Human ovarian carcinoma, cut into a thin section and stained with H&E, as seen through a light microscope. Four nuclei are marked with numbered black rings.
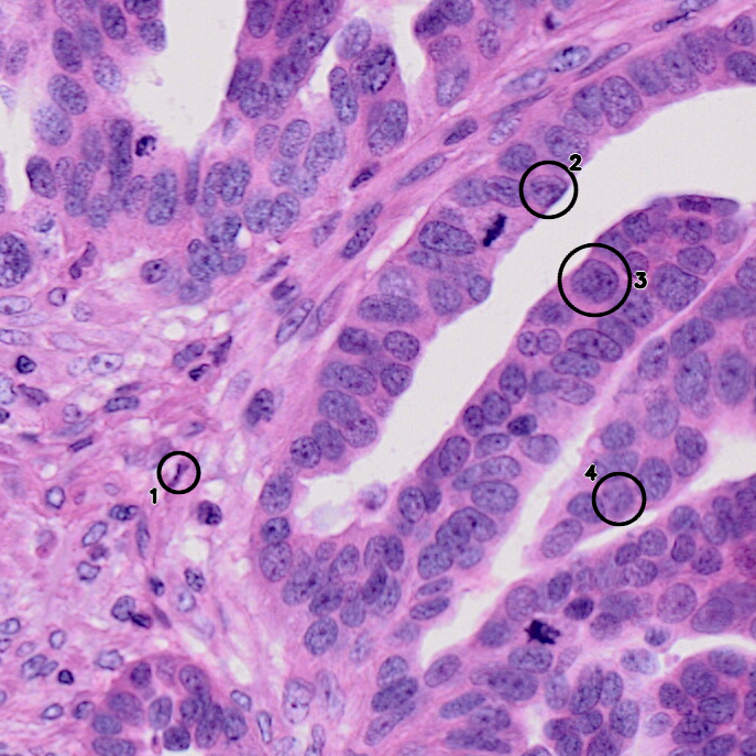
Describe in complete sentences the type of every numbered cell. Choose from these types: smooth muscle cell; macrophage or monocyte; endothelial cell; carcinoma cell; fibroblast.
Cell 1 is a fibroblast, cell 2 is a carcinoma cell, cell 3 is a carcinoma cell and cell 4 is a carcinoma cell.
